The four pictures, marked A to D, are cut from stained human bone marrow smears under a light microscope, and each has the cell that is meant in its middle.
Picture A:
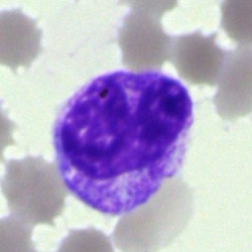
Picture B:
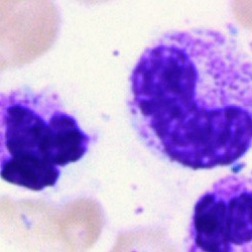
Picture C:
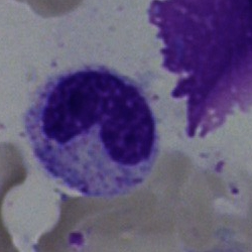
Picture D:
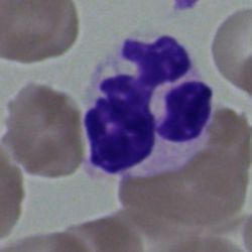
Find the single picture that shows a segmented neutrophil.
D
